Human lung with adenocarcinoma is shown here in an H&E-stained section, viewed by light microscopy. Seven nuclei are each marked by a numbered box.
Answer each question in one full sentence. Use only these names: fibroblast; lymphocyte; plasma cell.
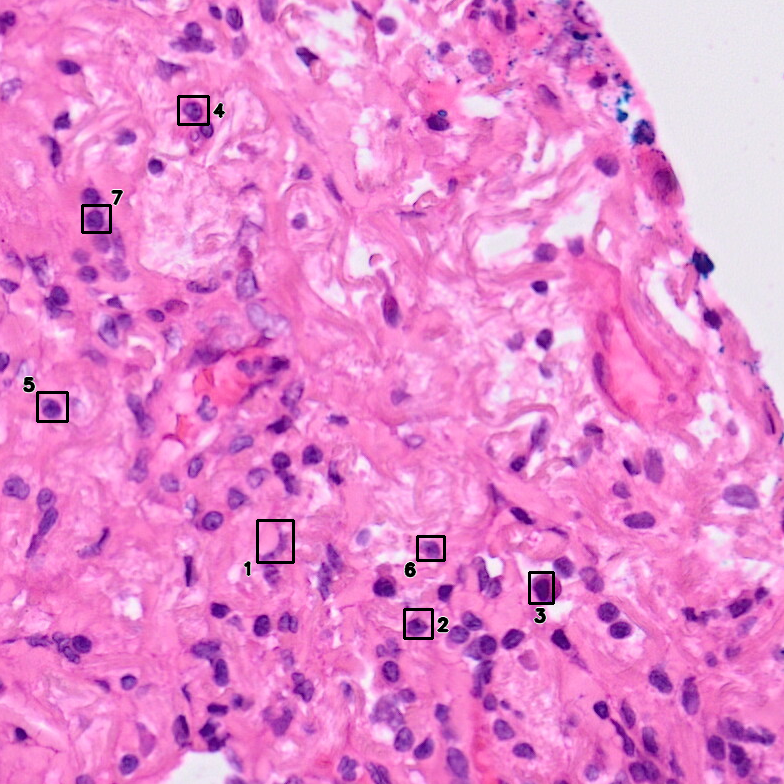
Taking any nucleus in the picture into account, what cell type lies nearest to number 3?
The cell nearest to number 3 is a lymphocyte.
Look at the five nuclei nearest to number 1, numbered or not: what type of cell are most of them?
Fibroblasts account for more than half of the five nuclei nearest to number 1.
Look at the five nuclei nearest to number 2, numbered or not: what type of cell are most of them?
Of the five nuclei nearest to number 2, most belong to plasma cells.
